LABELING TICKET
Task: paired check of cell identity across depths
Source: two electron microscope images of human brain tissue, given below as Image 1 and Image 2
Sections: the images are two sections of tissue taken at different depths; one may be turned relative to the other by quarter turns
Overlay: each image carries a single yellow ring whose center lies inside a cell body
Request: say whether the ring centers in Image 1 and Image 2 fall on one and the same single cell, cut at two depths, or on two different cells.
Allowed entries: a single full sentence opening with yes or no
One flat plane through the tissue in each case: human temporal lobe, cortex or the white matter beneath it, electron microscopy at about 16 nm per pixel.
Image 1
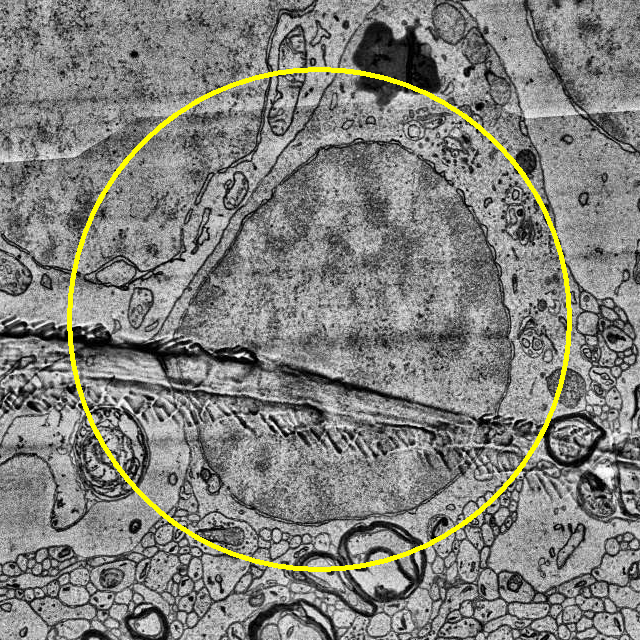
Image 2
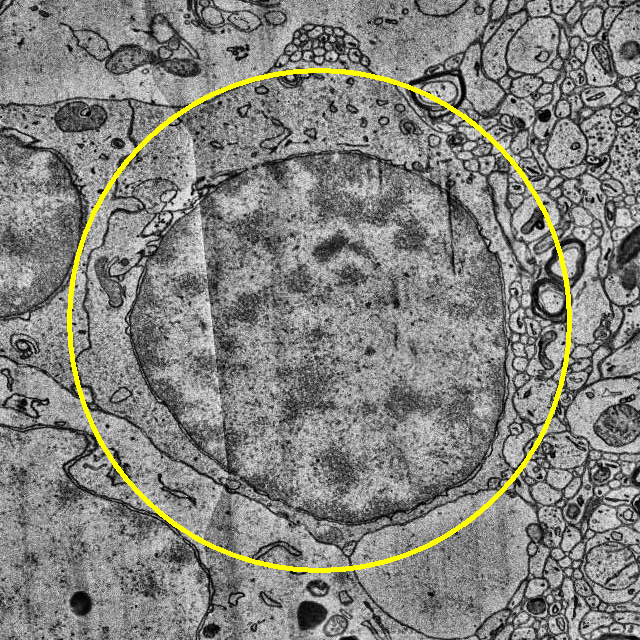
Yes, only one cell is involved, and both rings mark it.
